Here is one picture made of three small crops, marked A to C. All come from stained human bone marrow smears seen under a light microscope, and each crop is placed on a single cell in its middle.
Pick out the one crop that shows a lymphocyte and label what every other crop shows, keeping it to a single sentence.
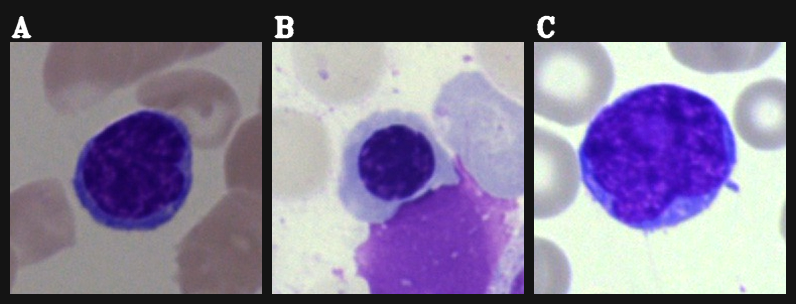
Crop A represents a lymphocyte, while crop B is an erythroblast and crop C is a blast.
